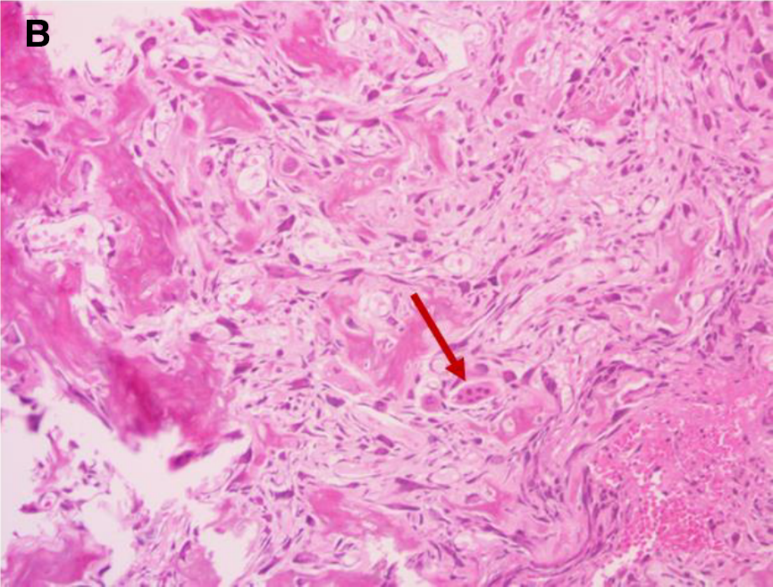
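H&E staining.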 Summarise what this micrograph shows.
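This is a cellular fibrous lesion with scattered multinucleated giant cells lying among spindle-shaped stromal cells and strands of pink matrix. Many spindle to oval cells with dark, elongated nuclei are arranged loosely in a pale pink, fibrillar background. Several larger cells with pale or vacuolated cytoplasm are scattered through it. One cell holds a cluster of several dense nuclei within a single cell body. Along the left edge, broad bands of deep pink matrix run diagonally. In the lower right corner lies a collection of red blood cells.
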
